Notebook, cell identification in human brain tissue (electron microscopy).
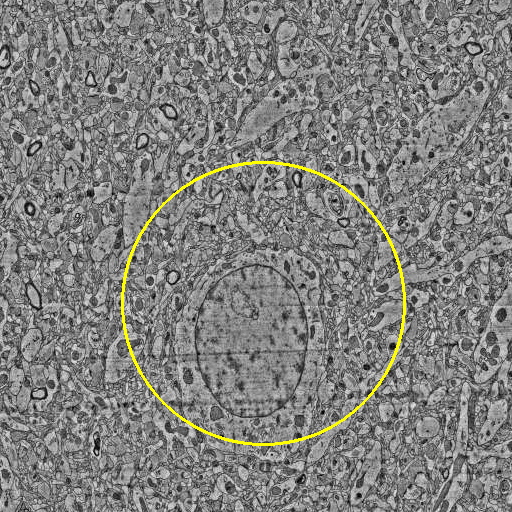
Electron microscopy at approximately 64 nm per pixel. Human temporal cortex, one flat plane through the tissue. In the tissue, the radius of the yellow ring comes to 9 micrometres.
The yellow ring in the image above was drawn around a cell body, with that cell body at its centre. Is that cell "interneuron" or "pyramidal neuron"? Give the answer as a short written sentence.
The cell in the ring is a pyramidal neuron.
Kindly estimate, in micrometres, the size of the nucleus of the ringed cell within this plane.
About 10 by 7 micrometres in this plane.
